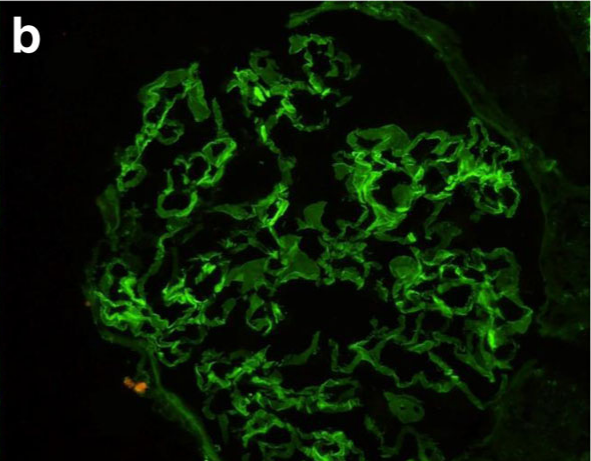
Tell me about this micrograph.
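A glomerulus with green fluorescence outlining the capillary loops in a linear pattern. The green lines are thin, smooth and continuous, tracing the wavy walls of many capillaries throughout the tuft. Capillary lumens appear dark. A faint green outline follows the periphery of the glomerulus. Little signal is seen outside the tuft.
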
